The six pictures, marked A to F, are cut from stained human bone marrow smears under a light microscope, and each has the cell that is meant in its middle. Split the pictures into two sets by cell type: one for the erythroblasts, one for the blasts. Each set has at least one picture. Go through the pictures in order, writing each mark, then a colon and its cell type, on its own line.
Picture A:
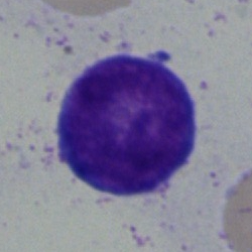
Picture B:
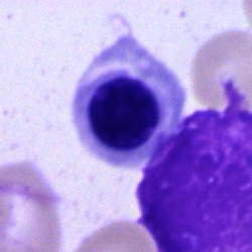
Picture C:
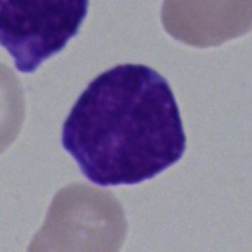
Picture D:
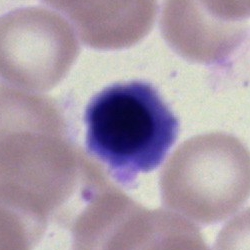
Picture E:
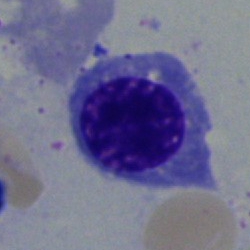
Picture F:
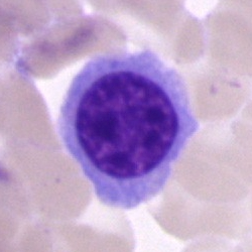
A: blast
B: erythroblast
C: blast
D: erythroblast
E: erythroblast
F: erythroblast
